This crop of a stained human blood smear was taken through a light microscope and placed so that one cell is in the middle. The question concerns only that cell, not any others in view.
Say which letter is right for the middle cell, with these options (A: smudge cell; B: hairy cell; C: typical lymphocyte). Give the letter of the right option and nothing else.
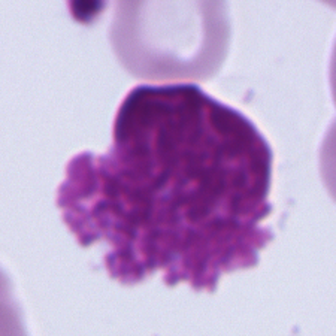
A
